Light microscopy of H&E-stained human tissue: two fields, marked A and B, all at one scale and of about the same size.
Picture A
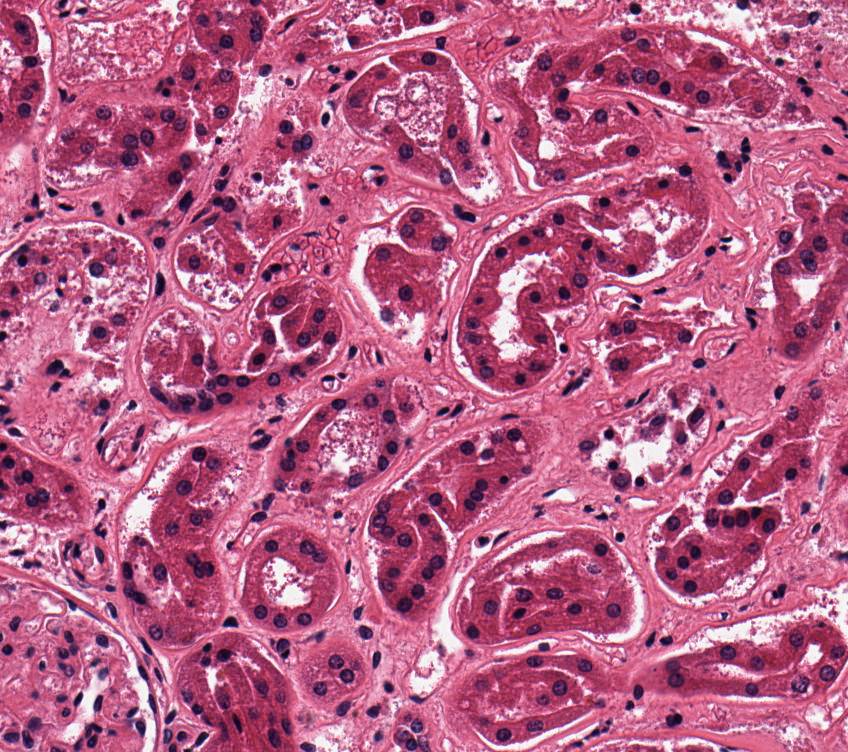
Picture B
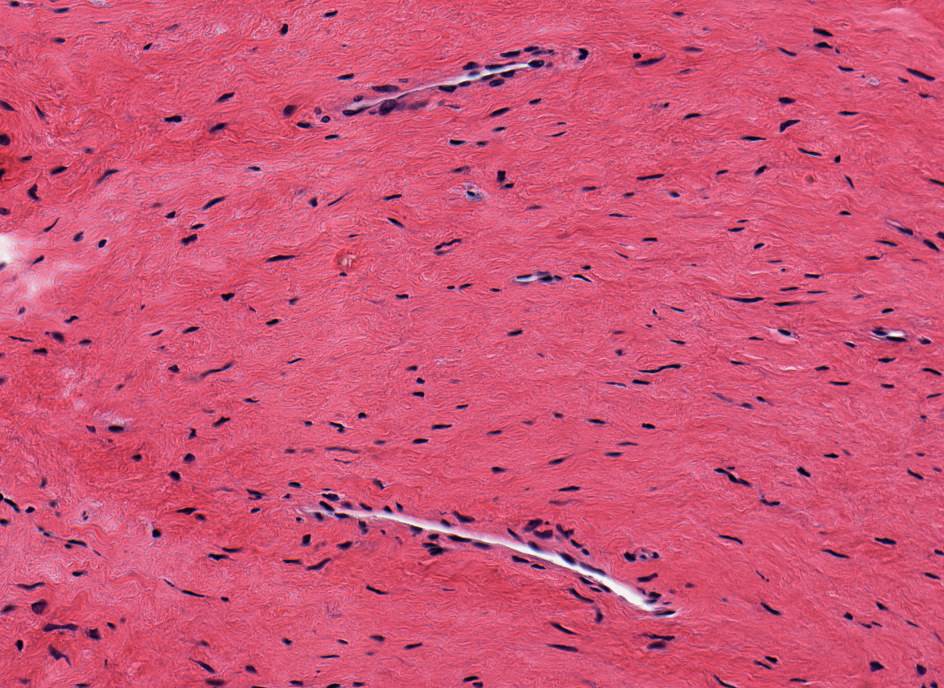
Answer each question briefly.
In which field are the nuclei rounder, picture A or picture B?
A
